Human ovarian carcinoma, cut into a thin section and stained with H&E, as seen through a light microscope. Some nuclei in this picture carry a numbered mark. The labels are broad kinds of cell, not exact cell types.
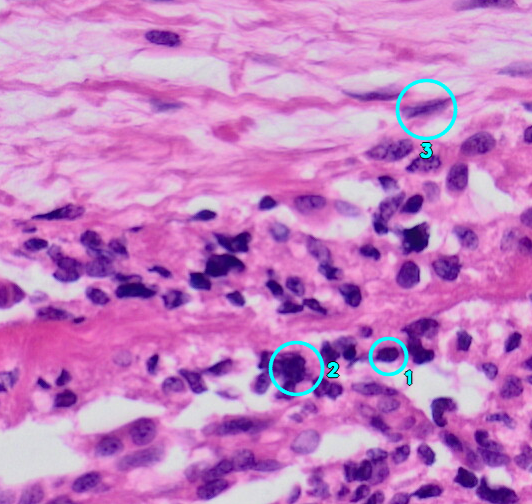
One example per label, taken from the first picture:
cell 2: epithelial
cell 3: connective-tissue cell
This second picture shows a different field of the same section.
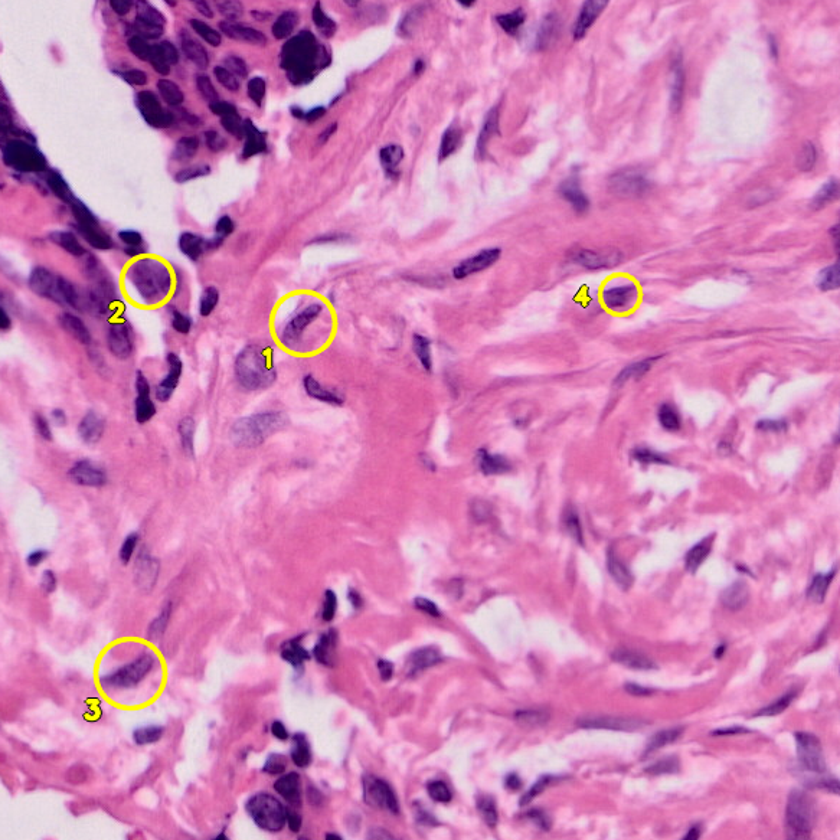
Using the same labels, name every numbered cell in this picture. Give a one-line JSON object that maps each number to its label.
{"1": "connective-tissue cell", "2": "epithelial", "3": "connective-tissue cell", "4": "connective-tissue cell"}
